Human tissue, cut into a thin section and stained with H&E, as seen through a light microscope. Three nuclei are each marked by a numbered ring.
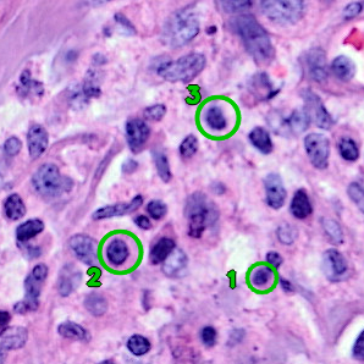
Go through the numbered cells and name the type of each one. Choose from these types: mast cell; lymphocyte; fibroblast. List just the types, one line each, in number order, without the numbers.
lymphocyte
mast cell
lymphocyte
